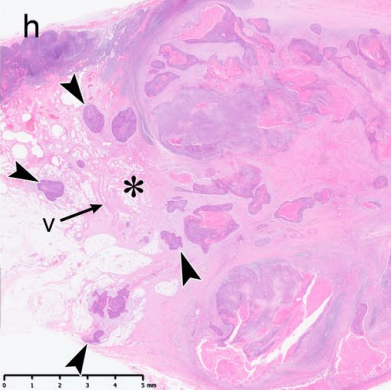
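This is a low-power section at the edge of a lymph node, showing tumor cells spreading into the surrounding fat. On the right lies a large, dense pink mass with rounded purple islands of cells inside it. On the left the tissue is pale and loose, with clear, rounded empty spaces at the upper left where fat cells were. Small, dense purple clusters of cells lie scattered in this pale tissue outside the main mass, some close to small vessels. A dark purple band of densely packed small cells runs along the top left corner.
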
